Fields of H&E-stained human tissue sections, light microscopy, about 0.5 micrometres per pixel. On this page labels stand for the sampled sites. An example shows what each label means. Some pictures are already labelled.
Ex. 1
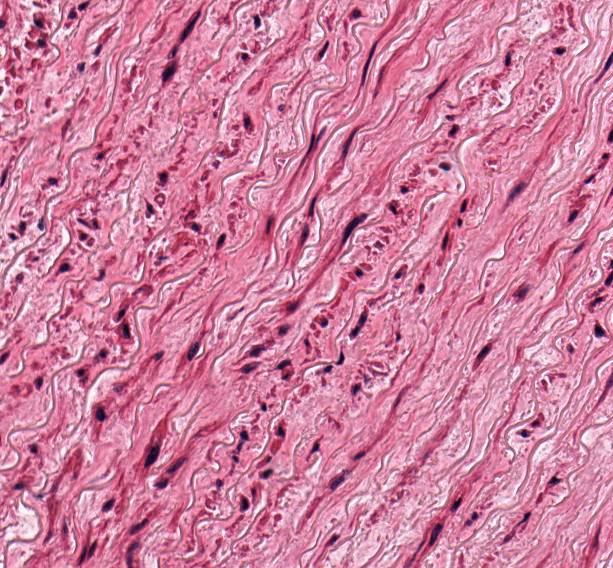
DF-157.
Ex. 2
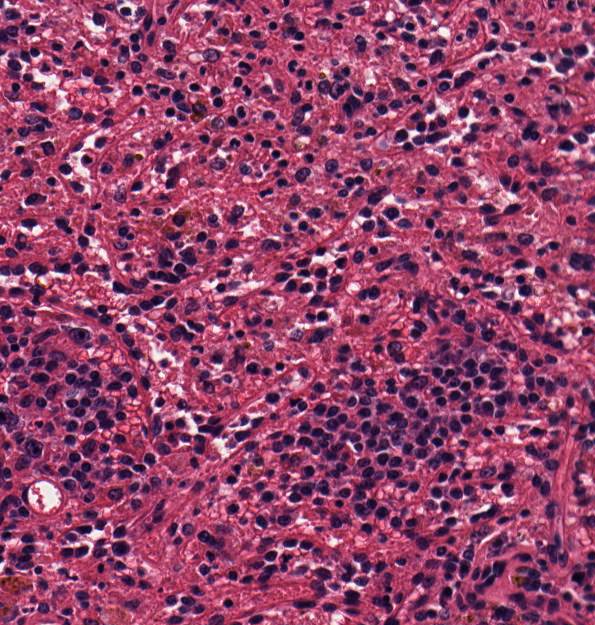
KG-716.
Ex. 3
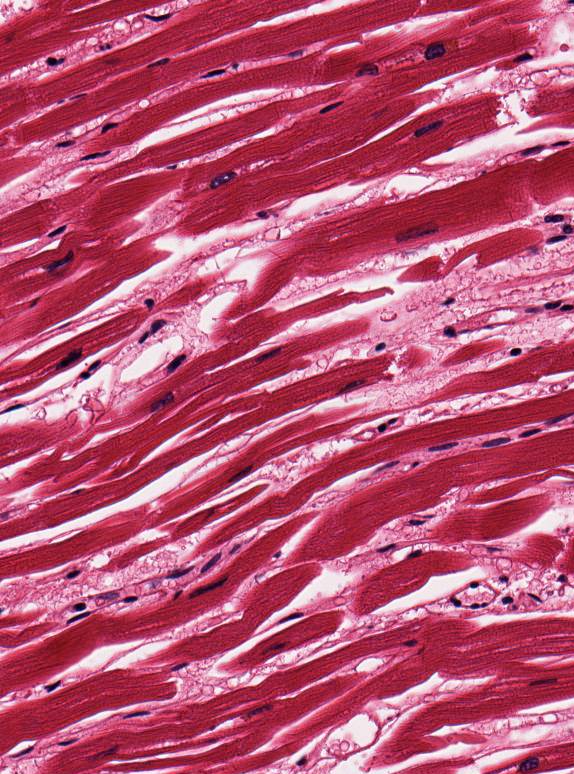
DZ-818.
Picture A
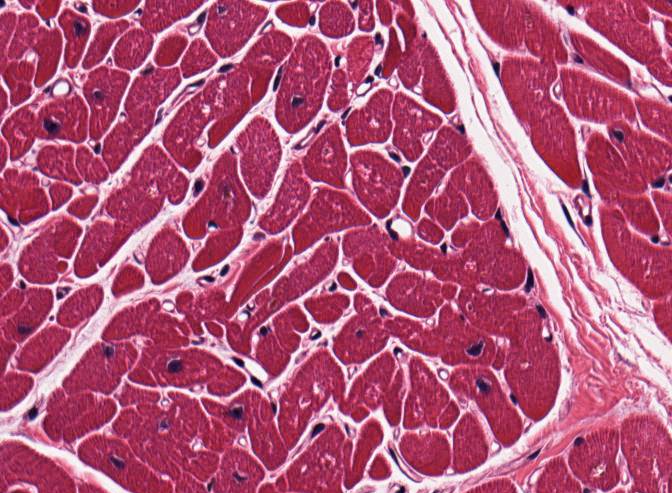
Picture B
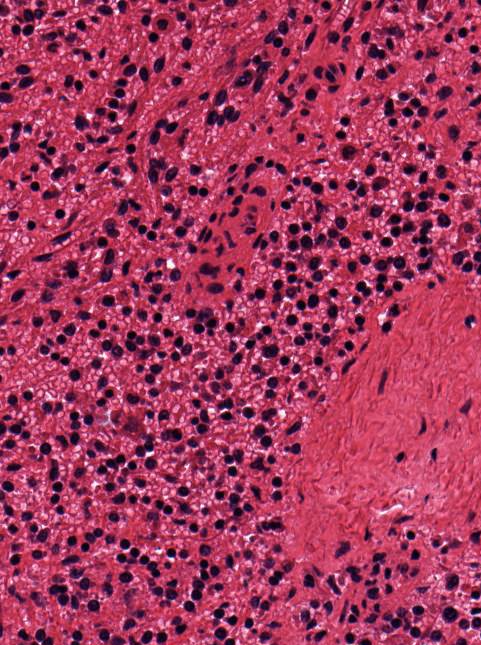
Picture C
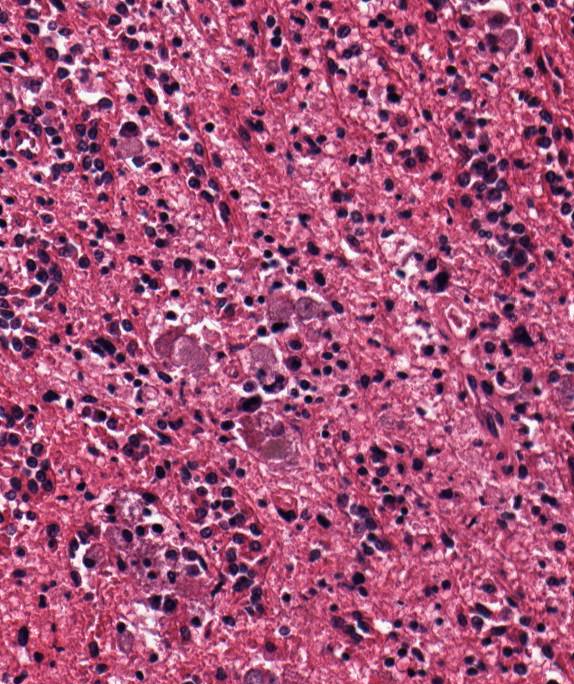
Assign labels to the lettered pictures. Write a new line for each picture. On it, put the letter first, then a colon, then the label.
A: DZ-818.
B: KG-716.
C: KG-716.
